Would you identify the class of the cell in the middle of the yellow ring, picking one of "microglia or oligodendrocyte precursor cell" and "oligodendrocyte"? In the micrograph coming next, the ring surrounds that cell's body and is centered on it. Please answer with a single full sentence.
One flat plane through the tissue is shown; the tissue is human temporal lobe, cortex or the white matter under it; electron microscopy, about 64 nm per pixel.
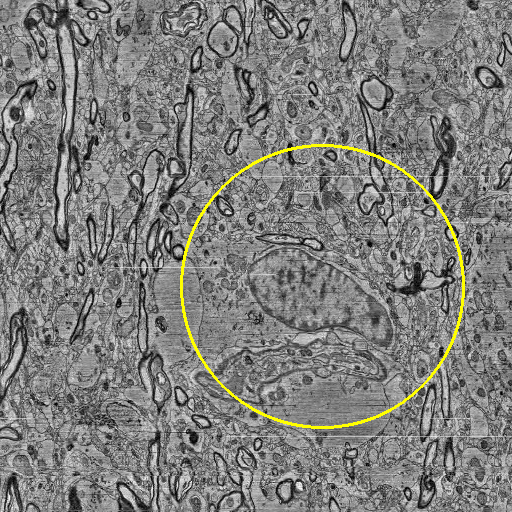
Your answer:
In the micrograph, it is a microglial cell or oligodendrocyte precursor cell whose body lies at the ring's center.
